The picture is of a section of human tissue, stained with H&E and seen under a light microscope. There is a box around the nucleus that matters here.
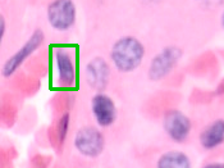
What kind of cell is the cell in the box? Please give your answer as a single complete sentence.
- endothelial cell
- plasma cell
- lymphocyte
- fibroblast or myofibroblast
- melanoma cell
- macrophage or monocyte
Right, so the cell in the box is an endothelial cell, to answer that.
